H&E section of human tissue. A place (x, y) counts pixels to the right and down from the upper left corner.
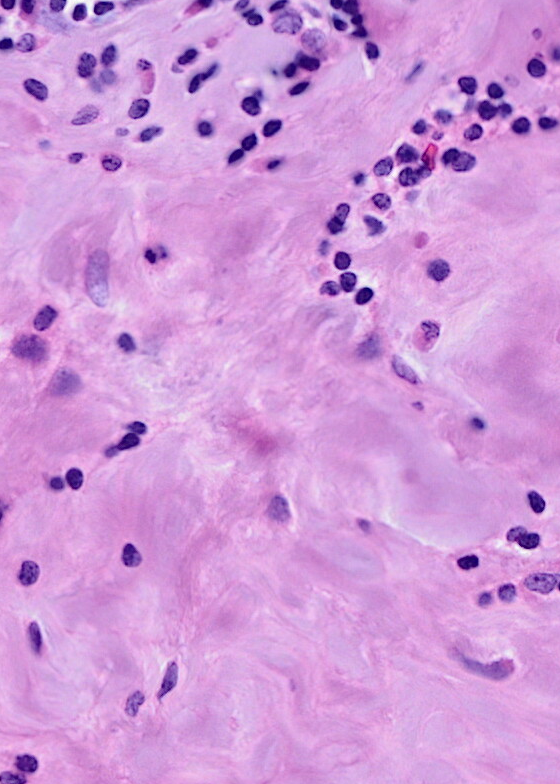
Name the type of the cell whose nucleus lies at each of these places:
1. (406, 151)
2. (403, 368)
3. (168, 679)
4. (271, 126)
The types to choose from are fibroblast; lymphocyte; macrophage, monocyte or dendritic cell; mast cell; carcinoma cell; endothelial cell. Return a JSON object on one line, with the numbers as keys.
{"1": "lymphocyte", "2": "fibroblast", "3": "fibroblast", "4": "lymphocyte"}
